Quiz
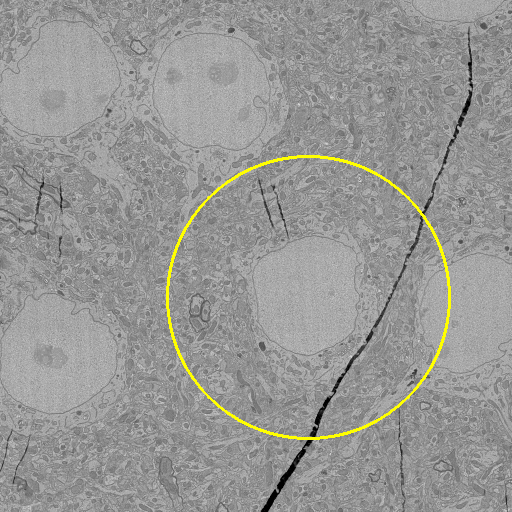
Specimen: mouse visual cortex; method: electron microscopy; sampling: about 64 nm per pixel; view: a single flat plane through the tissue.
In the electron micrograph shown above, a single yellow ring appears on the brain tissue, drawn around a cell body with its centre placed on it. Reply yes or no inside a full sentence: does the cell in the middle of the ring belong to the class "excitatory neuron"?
Yes, the cell at the centre of the ring in the picture belongs to that class.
